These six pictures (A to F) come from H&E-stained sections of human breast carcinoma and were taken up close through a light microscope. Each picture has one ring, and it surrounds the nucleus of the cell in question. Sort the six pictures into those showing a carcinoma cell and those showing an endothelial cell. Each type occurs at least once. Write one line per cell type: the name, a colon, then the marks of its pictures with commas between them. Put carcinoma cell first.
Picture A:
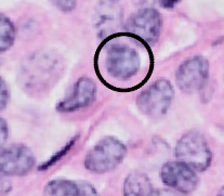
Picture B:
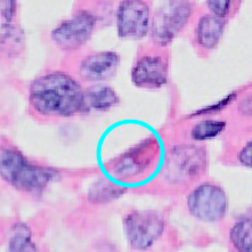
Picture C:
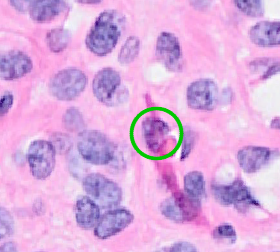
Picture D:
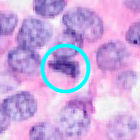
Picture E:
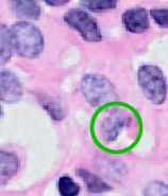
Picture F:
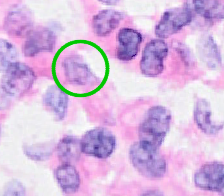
carcinoma cell: A, D, F
endothelial cell: B, C, E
